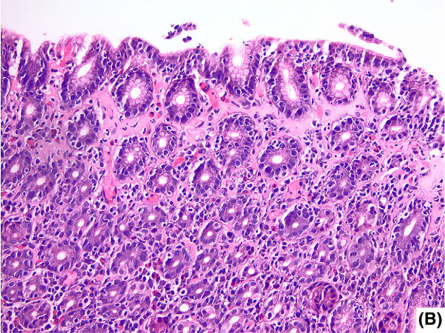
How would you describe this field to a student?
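Gastric mucosa with surface and pit epithelium crowded by intraepithelial lymphocytes. Pits are cut mostly across, forming round profiles with small central lumina lined by a single layer of columnar cells with pale to pink cytoplasm. Numerous small, round, dark-staining nuclei sit among and between the epithelial nuclei, both in the surface lining at the top and in the pit linings. The lamina propria between pits is cellular, holding small round inflammatory cells and thin capillaries with red cells. The surface epithelium is partly detached in places, with pinkish subepithelial material beneath it.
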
